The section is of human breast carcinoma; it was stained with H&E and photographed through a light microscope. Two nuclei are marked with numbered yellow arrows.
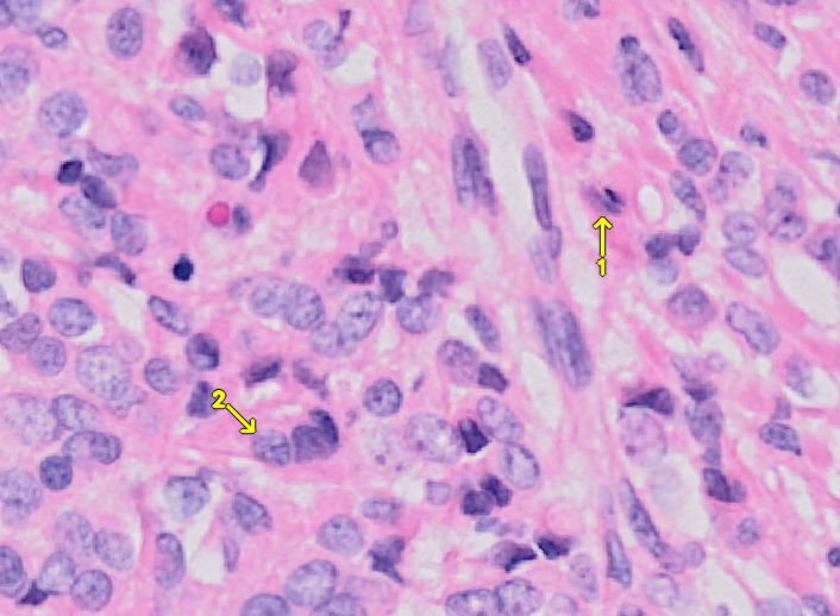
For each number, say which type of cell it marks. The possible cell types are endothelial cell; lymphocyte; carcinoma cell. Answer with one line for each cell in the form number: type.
1: endothelial cell
2: carcinoma cell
